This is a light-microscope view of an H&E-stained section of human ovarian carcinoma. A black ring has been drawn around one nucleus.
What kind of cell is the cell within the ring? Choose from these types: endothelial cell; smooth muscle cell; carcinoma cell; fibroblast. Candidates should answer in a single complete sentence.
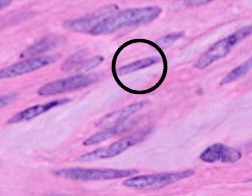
As for its identity, the cell within the ring is a smooth muscle cell.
